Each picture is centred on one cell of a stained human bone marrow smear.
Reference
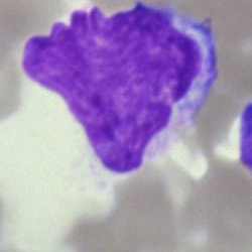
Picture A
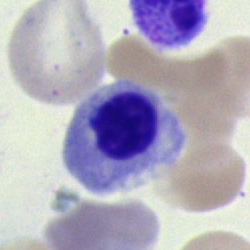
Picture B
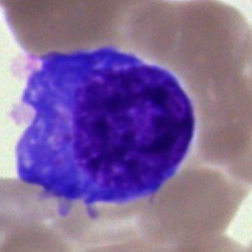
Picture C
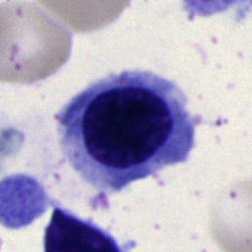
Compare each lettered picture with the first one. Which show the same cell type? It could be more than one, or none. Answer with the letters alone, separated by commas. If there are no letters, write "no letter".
no letter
